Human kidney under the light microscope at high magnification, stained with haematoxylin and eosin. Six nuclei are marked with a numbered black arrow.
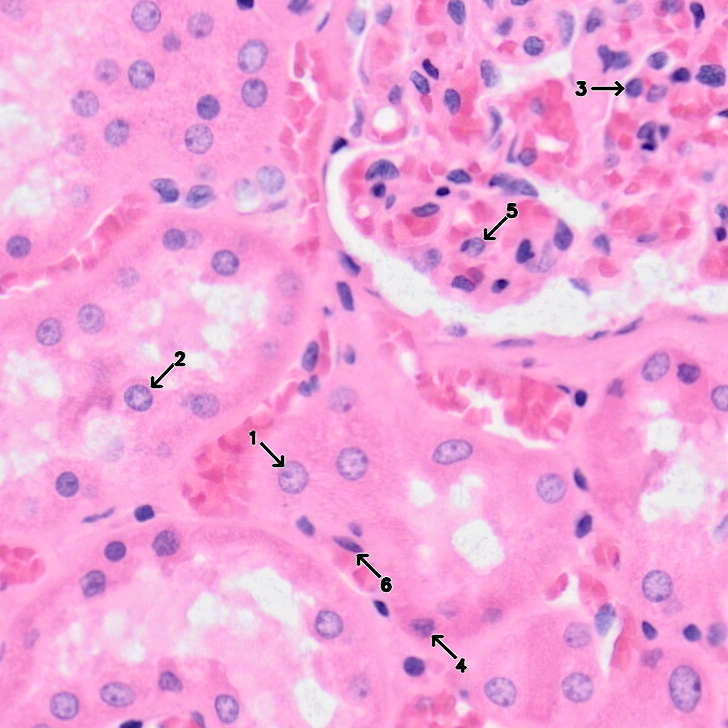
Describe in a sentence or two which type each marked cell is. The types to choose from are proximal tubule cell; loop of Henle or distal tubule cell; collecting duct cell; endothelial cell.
Cells 1, 2 and 4 are proximal tubule cells. Cells 3, 5 and 6 are endothelial cells.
